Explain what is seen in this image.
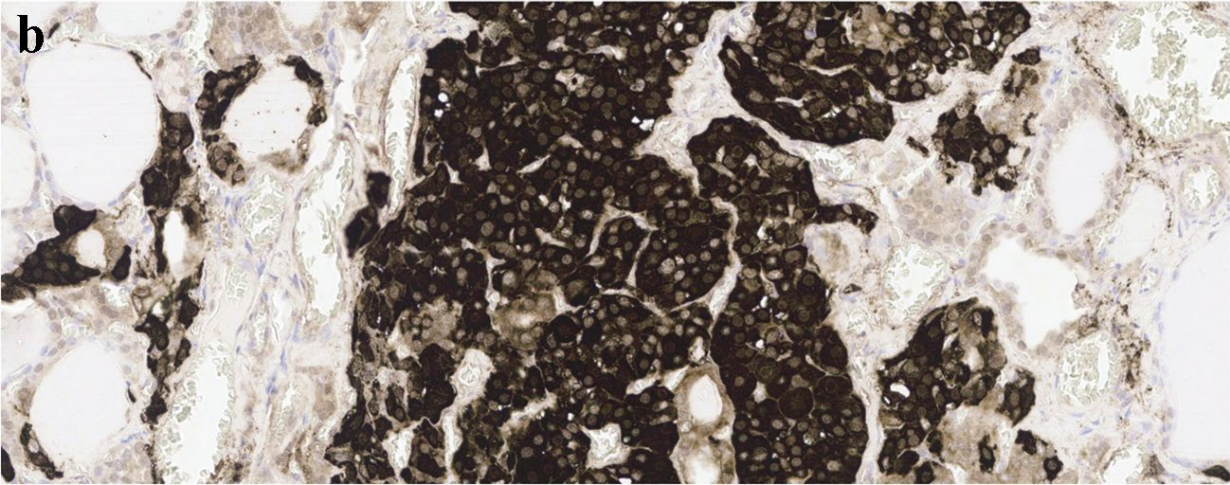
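This is thyroid tissue where the proliferating C cells stand out in dark brown. Large solid clusters of strongly stained polygonal cells fill the spaces between follicles, with round nuclei visible within the dark cytoplasm. Smaller stained groups hug the outside of nearby follicles. The follicle-lining cells around the empty-looking colloid spaces stay pale, and the thin septa between them are unstained.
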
